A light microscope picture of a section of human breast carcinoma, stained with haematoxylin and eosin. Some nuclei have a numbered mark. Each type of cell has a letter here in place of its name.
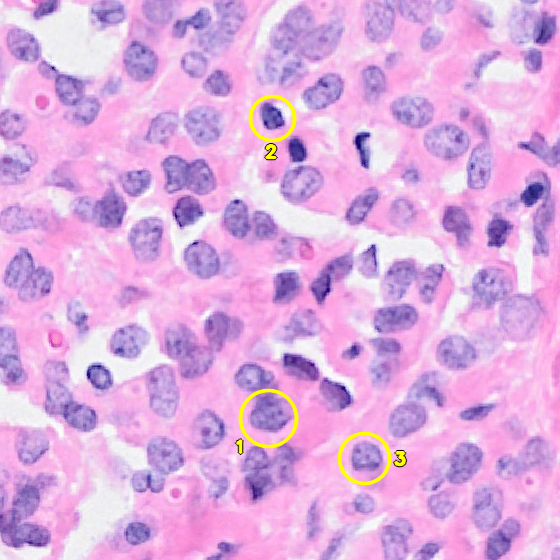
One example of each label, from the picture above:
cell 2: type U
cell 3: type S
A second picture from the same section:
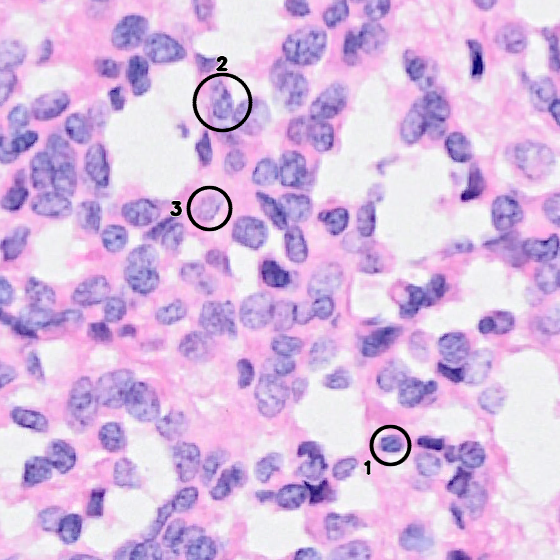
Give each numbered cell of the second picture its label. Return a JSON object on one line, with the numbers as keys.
{"1": "type U", "2": "type S", "3": "type S"}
